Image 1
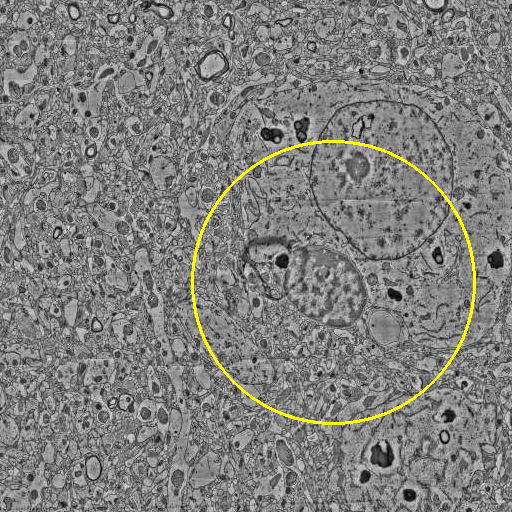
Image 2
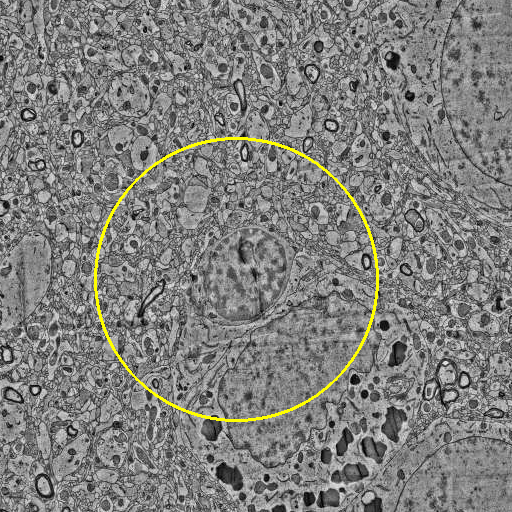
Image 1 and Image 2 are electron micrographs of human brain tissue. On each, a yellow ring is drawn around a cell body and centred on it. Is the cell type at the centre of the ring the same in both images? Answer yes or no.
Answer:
yes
